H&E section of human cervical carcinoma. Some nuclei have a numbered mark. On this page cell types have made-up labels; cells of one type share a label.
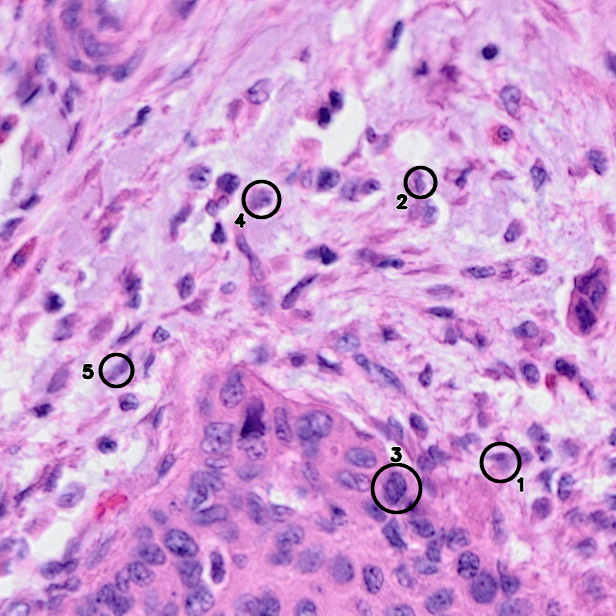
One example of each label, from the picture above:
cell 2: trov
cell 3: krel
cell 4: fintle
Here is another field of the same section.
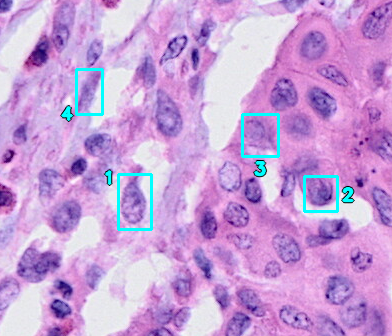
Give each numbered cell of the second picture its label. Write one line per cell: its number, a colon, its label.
1: fintle
2: krel
3: krel
4: trov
